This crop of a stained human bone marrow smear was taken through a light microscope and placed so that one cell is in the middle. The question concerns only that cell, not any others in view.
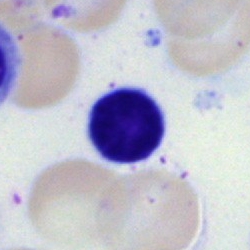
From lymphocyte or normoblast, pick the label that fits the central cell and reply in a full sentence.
At the middle of the frame sits a lymphocyte.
